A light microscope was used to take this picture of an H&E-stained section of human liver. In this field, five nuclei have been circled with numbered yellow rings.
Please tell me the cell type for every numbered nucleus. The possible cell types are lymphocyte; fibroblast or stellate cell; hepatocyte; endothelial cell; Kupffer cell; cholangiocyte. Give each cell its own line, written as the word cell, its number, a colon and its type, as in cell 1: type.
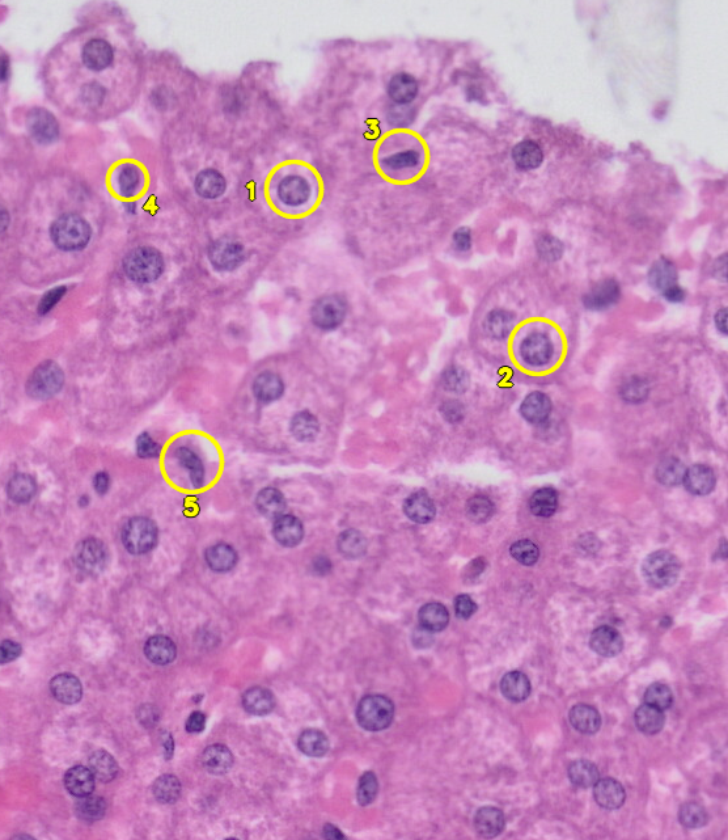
cell 1: hepatocyte
cell 2: hepatocyte
cell 3: fibroblast or stellate cell
cell 4: Kupffer cell
cell 5: Kupffer cell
